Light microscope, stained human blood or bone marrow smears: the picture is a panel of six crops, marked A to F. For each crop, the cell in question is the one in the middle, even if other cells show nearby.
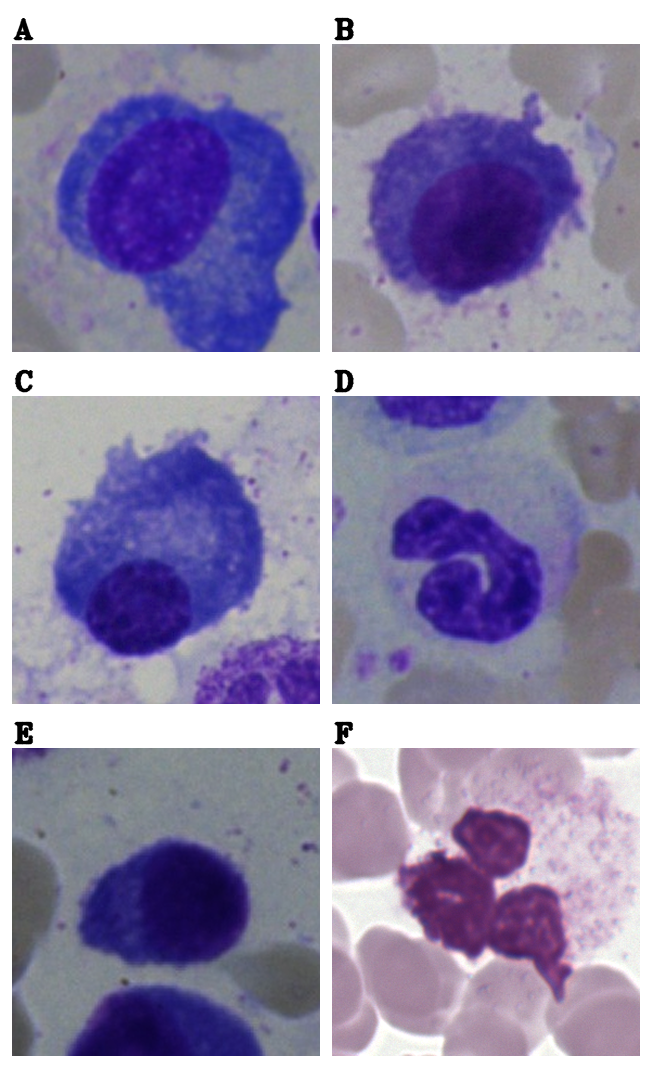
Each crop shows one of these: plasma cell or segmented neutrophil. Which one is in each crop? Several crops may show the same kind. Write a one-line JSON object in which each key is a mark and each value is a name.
{"A": "plasma cell", "B": "plasma cell", "C": "plasma cell", "D": "segmented neutrophil", "E": "plasma cell", "F": "segmented neutrophil"}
